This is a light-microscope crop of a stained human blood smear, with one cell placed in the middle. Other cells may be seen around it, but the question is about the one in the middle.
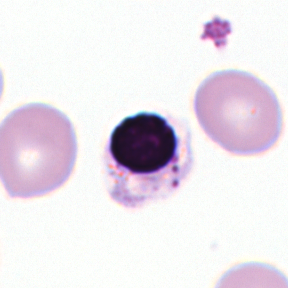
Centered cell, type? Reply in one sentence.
The central element of this crop is a cell, namely a normoblast.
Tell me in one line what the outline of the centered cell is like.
Irregular and not smooth, the cell boundary is ragged or drawn out into projections.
